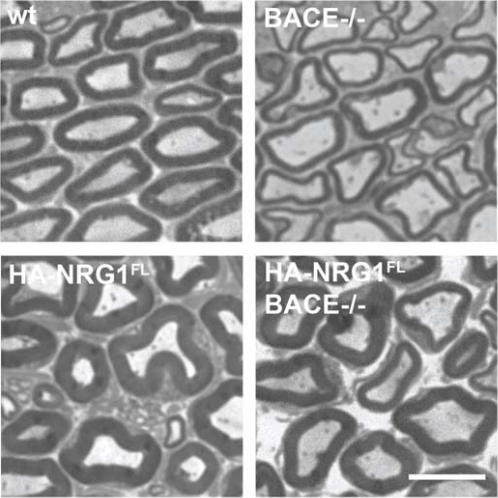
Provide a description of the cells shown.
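Four fields of a peripheral nerve cut in cross section show closely packed myelinated axons, each a pale, roughly round to polygonal axon enclosed by a dark grey ring of myelin. In the upper left field the rings are of moderate, fairly even thickness around regular axon profiles. In the upper right field the dark rings are noticeably thinner relative to the size of the axons they surround. In the two lower fields the rings are thicker, and many axon profiles are irregular, indented or folded.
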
